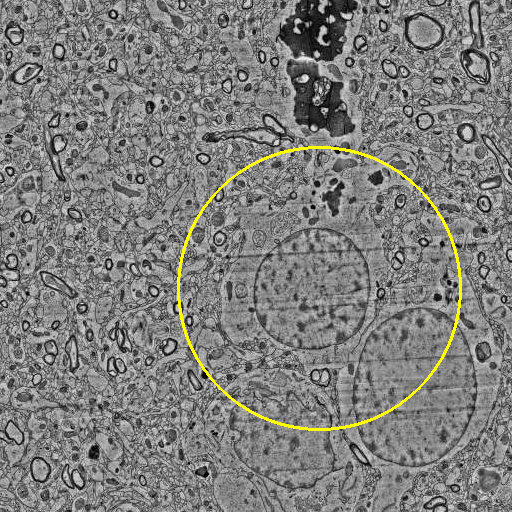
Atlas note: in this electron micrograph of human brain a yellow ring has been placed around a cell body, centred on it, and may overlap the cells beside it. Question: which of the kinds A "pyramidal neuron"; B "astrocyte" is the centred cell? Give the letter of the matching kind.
B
